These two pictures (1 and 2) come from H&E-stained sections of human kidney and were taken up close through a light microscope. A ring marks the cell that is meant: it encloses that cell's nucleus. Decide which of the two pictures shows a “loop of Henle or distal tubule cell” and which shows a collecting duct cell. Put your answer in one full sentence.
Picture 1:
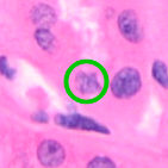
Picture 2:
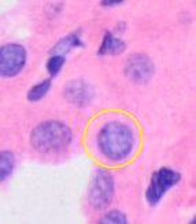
Picture 1 shows a collecting duct cell and picture 2 shows a “loop of Henle or distal tubule cell”.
